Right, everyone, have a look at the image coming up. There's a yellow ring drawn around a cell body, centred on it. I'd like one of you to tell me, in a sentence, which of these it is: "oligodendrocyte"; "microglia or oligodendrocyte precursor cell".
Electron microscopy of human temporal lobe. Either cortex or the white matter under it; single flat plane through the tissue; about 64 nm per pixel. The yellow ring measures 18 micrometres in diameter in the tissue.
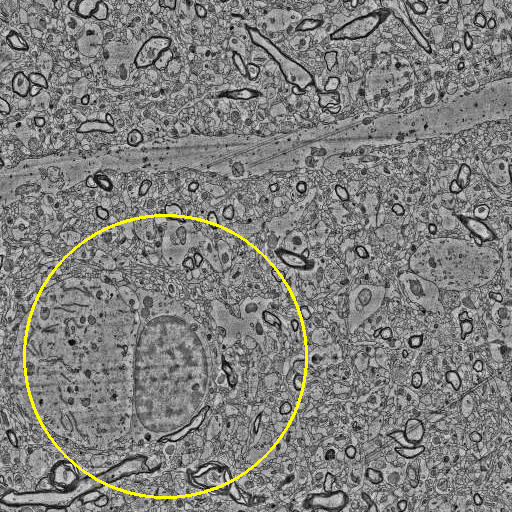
The yellow ring sits on an oligodendrocyte.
